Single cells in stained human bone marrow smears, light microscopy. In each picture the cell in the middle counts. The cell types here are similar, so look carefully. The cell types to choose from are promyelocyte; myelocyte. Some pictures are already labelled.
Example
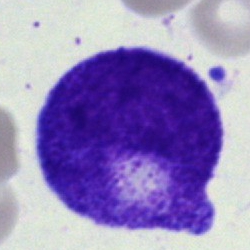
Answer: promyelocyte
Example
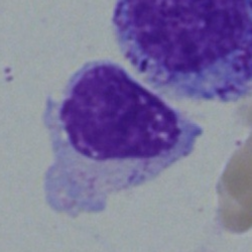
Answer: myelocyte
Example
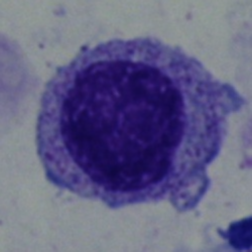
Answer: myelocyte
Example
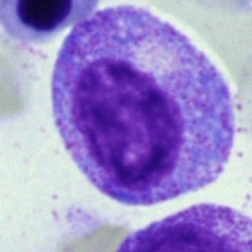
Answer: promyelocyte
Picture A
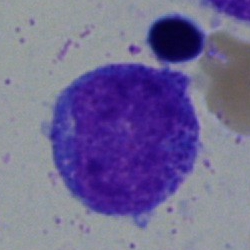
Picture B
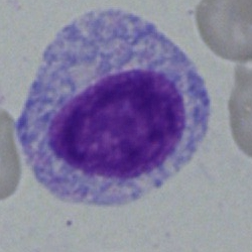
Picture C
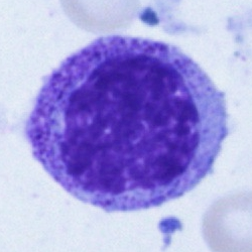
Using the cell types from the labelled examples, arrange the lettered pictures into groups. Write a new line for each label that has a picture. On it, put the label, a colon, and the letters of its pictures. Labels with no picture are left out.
promyelocyte: A, C
myelocyte: B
